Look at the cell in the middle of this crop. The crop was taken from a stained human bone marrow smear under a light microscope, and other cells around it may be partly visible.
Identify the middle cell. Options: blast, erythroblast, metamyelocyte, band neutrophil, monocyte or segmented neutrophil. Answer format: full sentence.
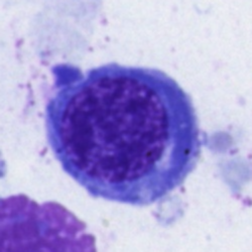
The cell of interest, in the center, is an erythroblast.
